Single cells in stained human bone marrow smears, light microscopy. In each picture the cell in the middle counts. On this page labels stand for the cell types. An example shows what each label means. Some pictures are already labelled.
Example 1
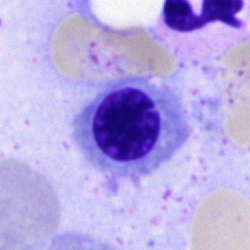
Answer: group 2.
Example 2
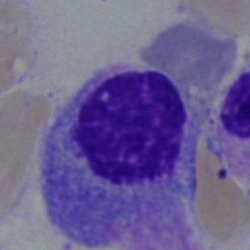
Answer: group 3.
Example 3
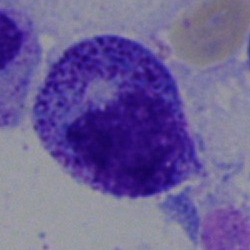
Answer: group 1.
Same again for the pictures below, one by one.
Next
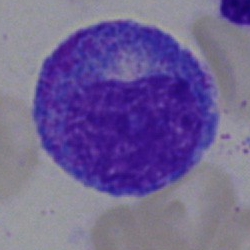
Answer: group 1.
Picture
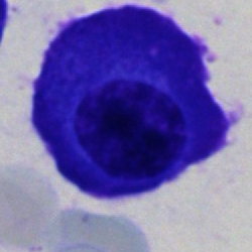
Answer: group 3.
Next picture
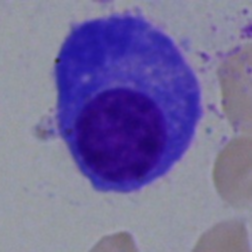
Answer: group 3.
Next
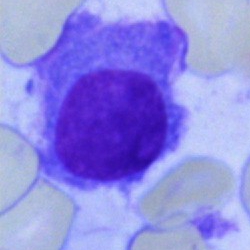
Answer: group 3.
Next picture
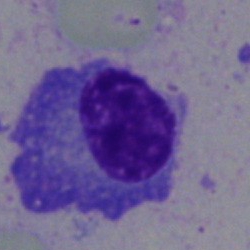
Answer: group 3.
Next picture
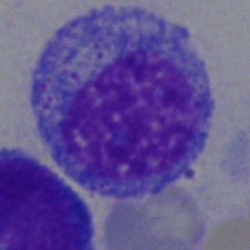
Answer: group 1.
